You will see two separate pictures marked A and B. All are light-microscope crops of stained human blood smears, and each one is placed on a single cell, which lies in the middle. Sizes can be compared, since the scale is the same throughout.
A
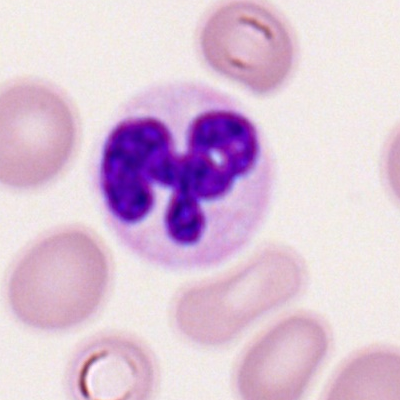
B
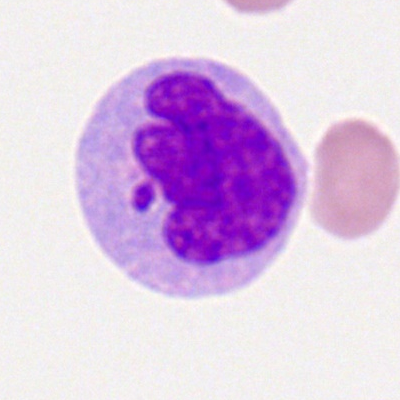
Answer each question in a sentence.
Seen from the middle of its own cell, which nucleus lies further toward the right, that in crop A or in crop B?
It is the nucleus in crop B that lies further toward the right of its cell.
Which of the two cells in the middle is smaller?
It is the cell in crop A; the cell in crop B has about 1.5 times its area.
